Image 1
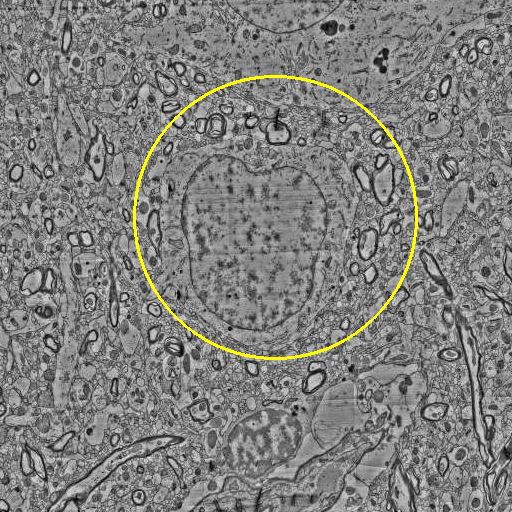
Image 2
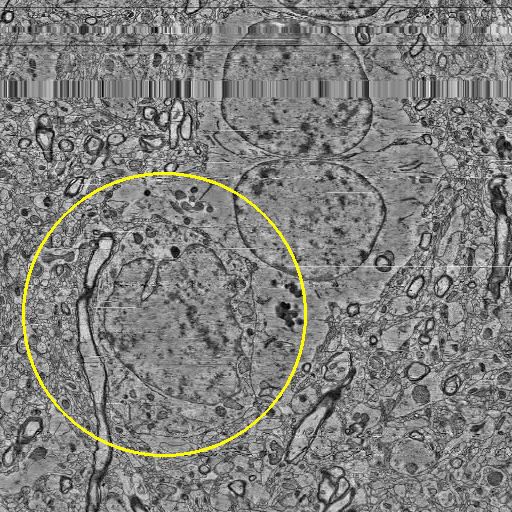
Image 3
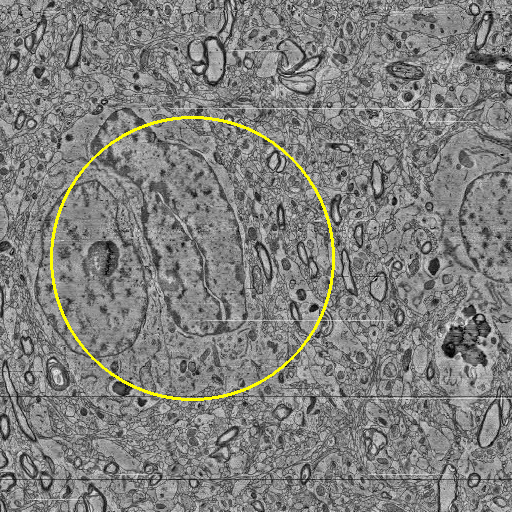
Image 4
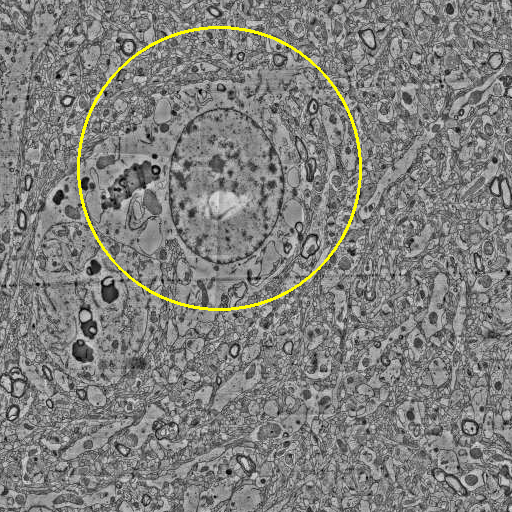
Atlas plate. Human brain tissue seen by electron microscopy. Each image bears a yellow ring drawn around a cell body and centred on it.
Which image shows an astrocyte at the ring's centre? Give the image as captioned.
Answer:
Image 4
